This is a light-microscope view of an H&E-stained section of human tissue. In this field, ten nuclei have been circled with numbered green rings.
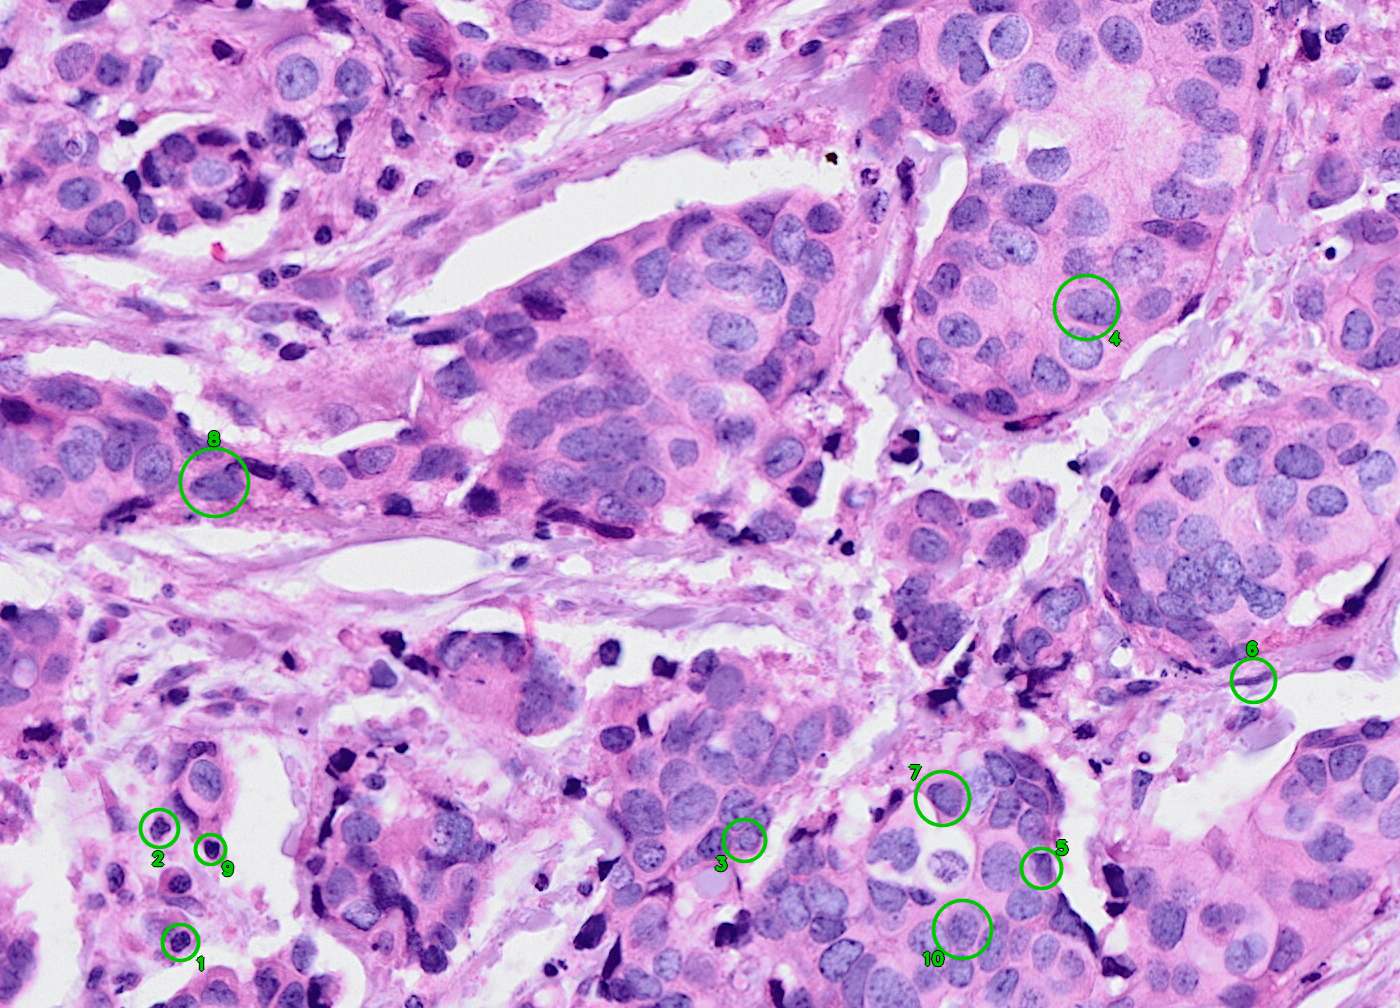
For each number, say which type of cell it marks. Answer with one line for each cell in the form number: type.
1: lymphocyte
2: lymphocyte
3: carcinoma cell
4: carcinoma cell
5: carcinoma cell
6: fibroblast
7: carcinoma cell
8: carcinoma cell
9: lymphocyte
10: carcinoma cell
